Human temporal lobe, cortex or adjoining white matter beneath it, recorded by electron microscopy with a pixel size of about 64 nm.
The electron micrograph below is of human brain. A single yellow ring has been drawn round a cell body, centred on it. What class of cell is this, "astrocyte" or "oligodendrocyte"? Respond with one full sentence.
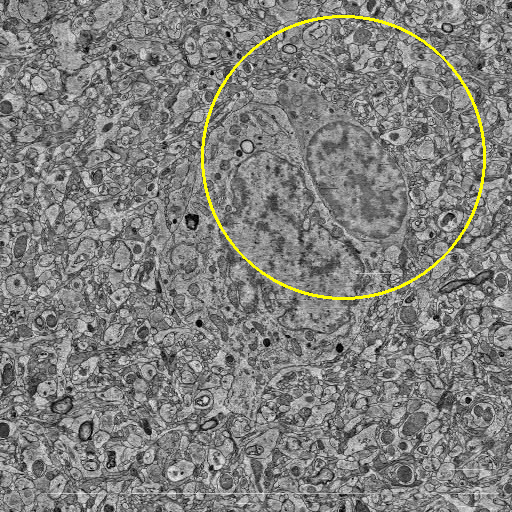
In the micrograph, the cell centred inside the yellow ring is an oligodendrocyte.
